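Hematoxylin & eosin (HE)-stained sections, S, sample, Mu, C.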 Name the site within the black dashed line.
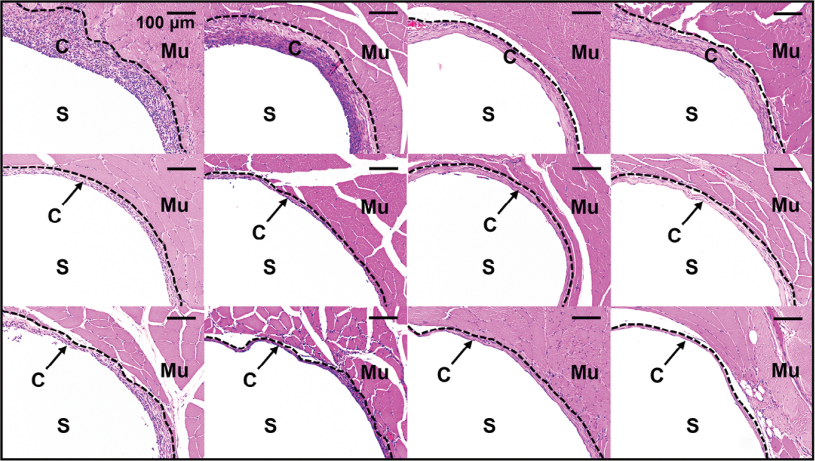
Interface between muscle and capsular formation.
